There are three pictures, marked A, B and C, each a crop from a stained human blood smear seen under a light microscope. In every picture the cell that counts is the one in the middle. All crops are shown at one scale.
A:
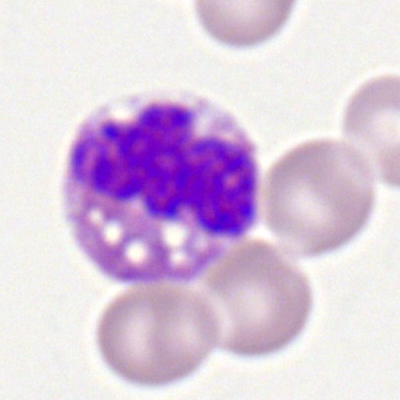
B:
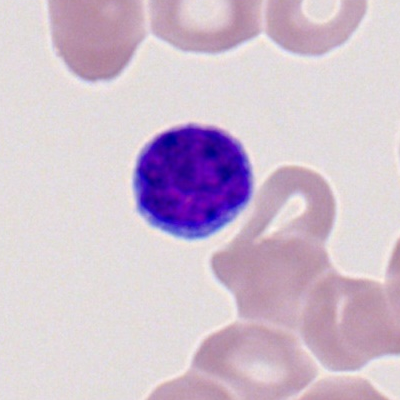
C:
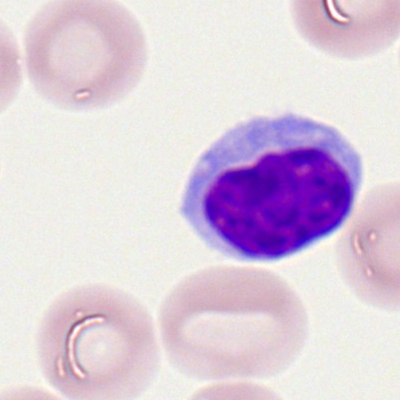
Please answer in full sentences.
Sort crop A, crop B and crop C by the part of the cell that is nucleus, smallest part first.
The least filled comes first: A, C, B.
